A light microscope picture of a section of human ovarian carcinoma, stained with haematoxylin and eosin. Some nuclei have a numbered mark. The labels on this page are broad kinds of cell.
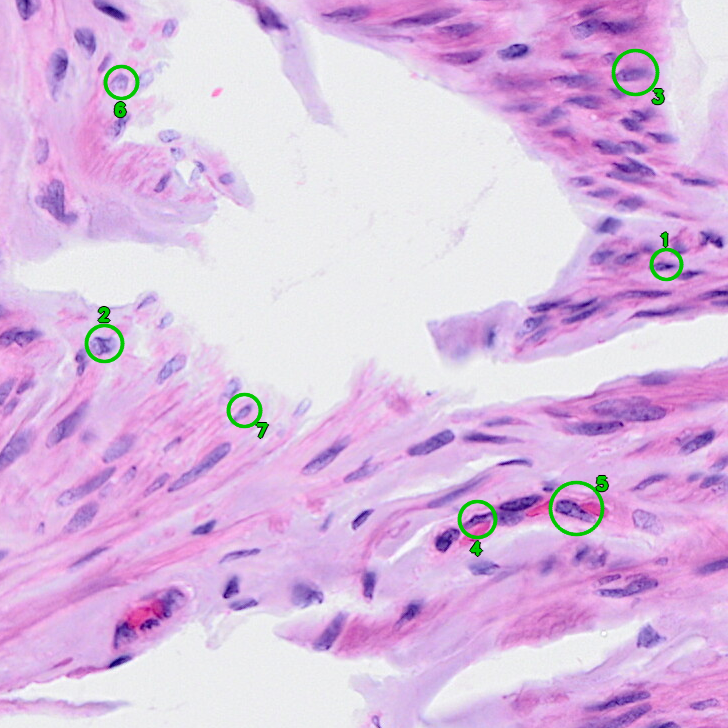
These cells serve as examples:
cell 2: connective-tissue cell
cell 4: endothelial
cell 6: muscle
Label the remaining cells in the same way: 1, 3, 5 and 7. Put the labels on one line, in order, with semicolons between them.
muscle; muscle; endothelial; muscle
